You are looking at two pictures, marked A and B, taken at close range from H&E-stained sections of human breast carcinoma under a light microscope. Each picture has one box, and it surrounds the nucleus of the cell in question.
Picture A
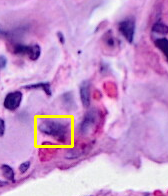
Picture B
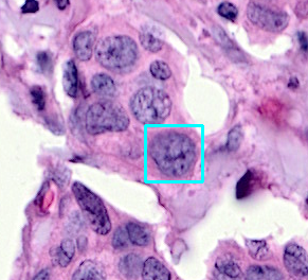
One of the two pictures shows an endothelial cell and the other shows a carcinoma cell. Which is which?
A: endothelial cell
B: carcinoma cell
